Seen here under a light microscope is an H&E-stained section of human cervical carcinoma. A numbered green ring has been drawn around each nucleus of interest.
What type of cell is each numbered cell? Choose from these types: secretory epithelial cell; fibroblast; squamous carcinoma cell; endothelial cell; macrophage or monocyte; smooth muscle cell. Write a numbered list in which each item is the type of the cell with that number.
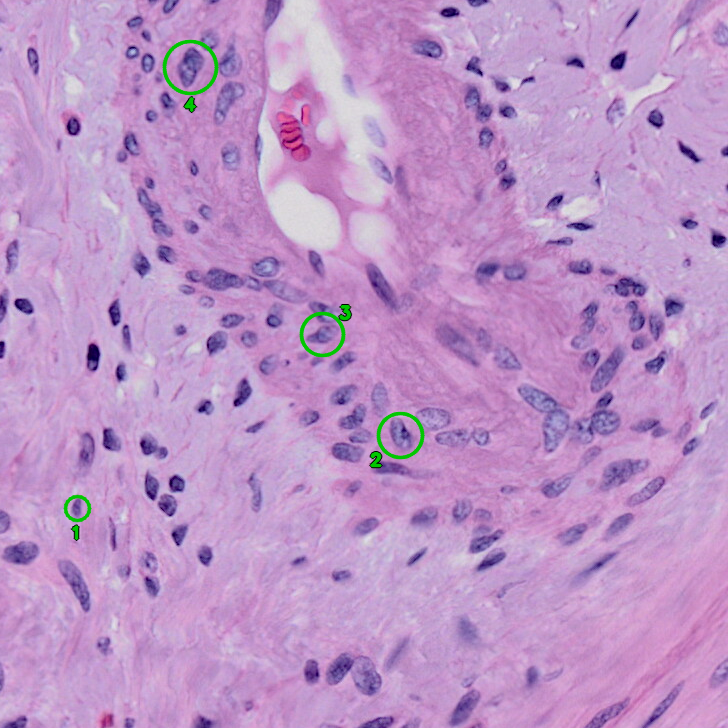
1. fibroblast
2. smooth muscle cell
3. smooth muscle cell
4. smooth muscle cell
